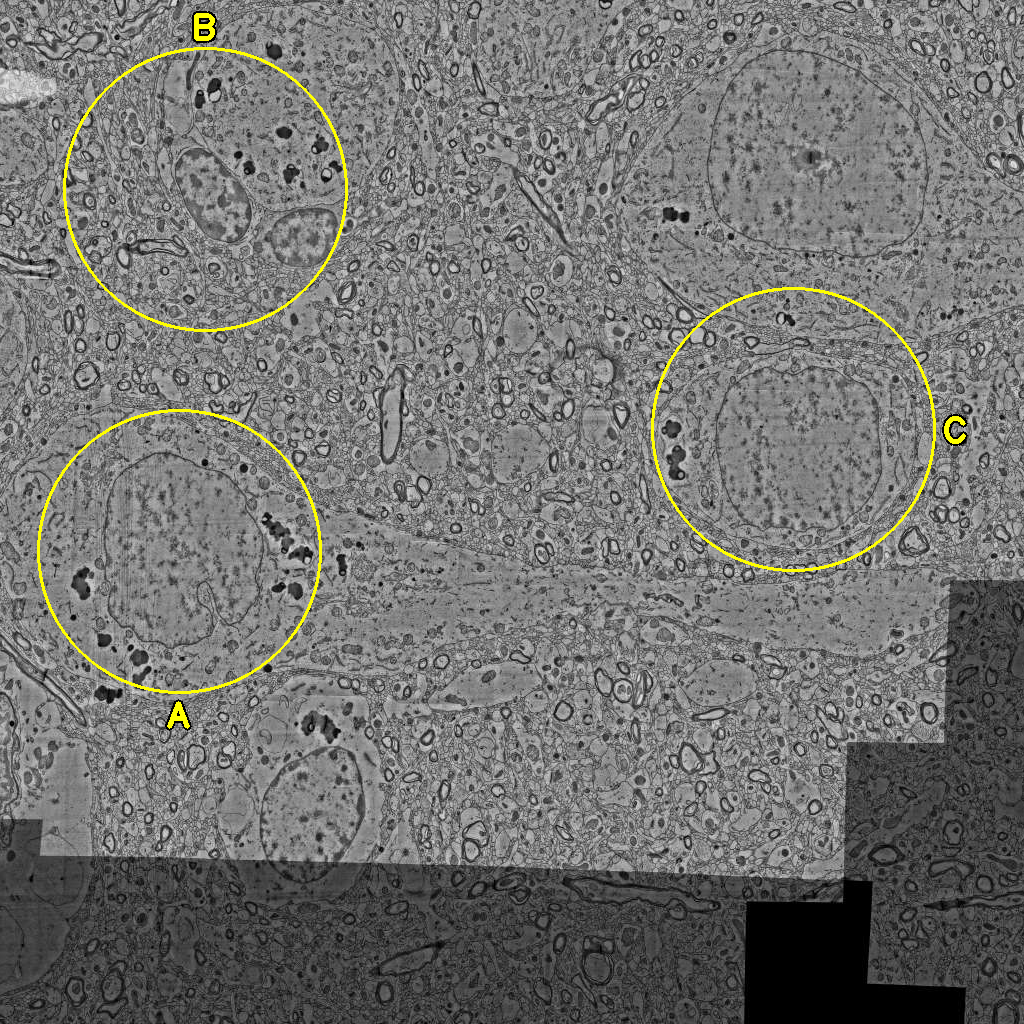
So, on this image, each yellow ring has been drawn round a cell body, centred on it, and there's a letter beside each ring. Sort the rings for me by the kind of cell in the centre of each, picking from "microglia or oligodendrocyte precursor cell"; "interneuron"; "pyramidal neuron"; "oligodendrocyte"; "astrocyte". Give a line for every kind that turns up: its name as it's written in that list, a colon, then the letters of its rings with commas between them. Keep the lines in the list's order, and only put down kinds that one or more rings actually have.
microglia or oligodendrocyte precursor cell: B
interneuron: C
pyramidal neuron: A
